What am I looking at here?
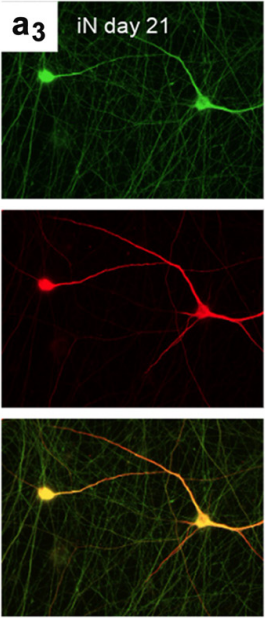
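A few neurons with bright round cell bodies and several long tapering processes appear red and yellow in the merge. Around them lies a fine meshwork of thin green fibres that shows little or no red, consistent with axons separated from the cell body and dendrites.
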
